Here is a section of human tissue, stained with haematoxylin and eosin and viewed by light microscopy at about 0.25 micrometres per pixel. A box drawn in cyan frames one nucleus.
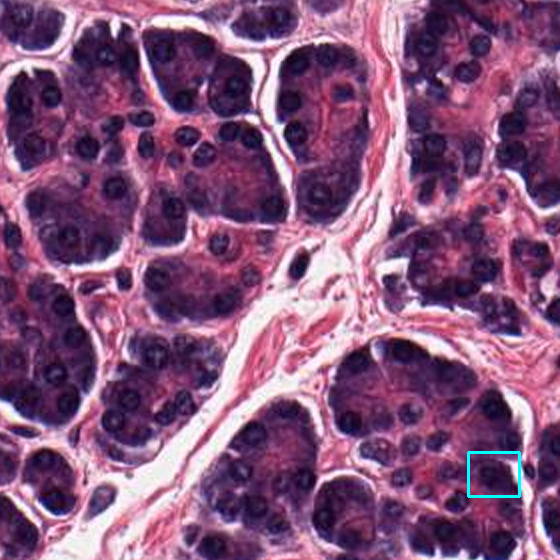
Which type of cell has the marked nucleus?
pancreatic acinar cell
